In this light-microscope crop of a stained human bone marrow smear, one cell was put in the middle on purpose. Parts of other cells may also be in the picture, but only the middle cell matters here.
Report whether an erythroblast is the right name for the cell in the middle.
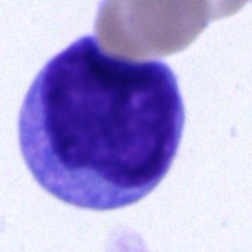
no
